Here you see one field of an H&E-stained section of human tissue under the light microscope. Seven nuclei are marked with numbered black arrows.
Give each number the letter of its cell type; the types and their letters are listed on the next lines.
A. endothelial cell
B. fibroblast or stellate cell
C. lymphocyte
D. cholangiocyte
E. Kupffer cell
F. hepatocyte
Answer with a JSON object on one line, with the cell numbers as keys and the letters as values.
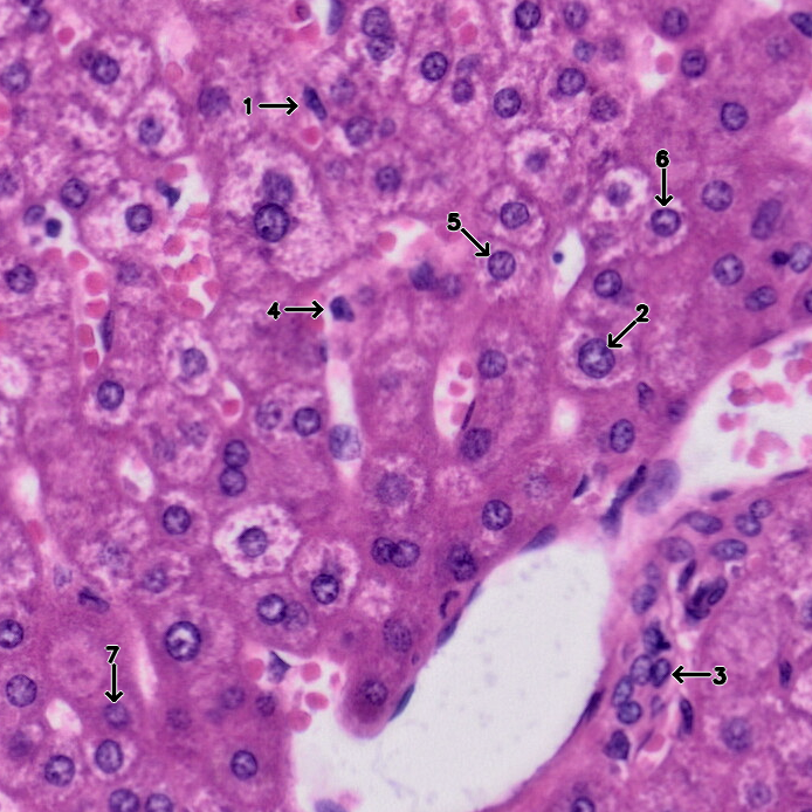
{"1": "B", "2": "F", "3": "D", "4": "C", "5": "F", "6": "F", "7": "F"}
